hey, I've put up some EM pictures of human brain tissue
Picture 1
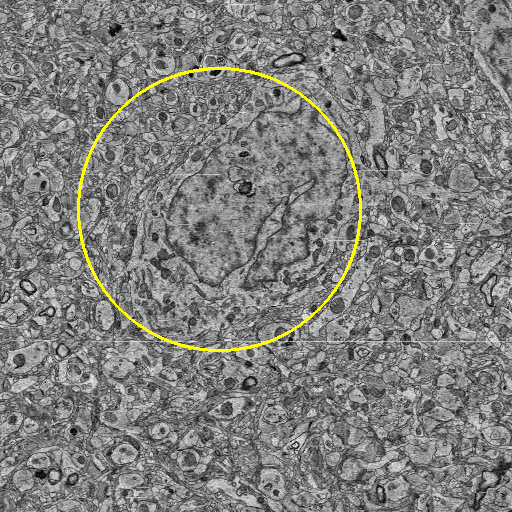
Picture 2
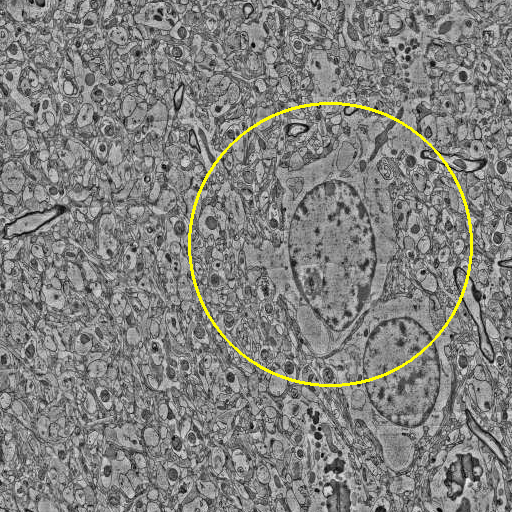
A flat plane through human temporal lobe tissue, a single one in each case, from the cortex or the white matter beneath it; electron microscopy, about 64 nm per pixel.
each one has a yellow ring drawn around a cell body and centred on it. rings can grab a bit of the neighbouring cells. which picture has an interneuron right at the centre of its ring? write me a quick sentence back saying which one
It's Picture 1.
